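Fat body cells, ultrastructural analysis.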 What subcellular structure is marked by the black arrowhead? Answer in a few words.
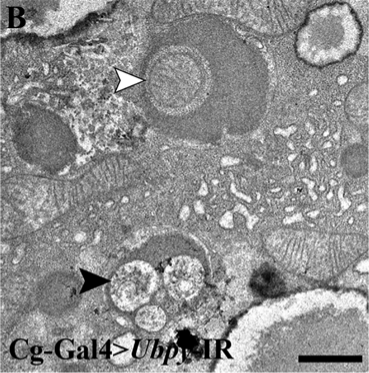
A: Small autolysosomes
